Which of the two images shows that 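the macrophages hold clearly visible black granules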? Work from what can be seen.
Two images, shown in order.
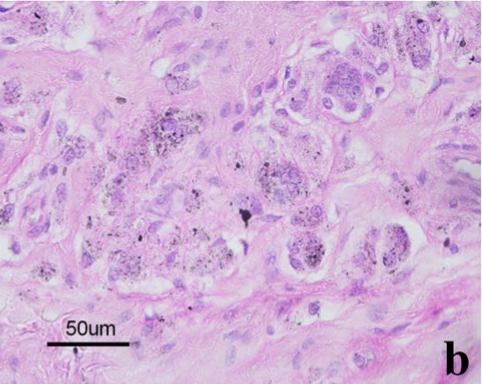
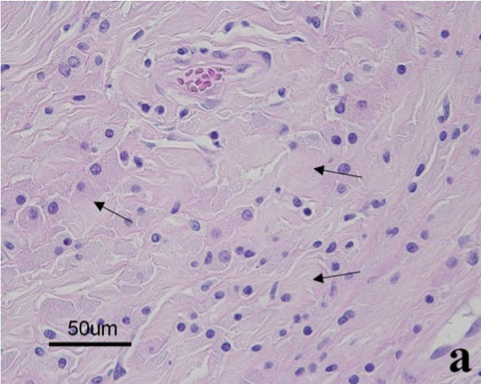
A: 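The first image. First image: large cells with cytoplasm full of discrete black granules.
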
